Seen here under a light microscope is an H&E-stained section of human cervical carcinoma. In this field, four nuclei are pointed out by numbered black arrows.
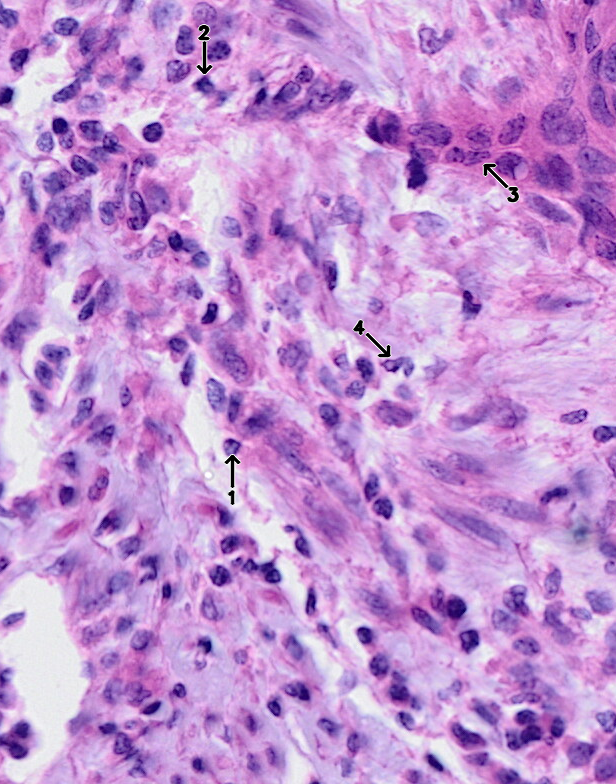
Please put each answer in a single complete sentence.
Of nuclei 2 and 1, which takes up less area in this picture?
Nucleus 1 covers less area, with nucleus 2 about 1.5 times as large.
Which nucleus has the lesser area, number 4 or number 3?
It is nucleus 3; nucleus 4 has about 1.5 times its area.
